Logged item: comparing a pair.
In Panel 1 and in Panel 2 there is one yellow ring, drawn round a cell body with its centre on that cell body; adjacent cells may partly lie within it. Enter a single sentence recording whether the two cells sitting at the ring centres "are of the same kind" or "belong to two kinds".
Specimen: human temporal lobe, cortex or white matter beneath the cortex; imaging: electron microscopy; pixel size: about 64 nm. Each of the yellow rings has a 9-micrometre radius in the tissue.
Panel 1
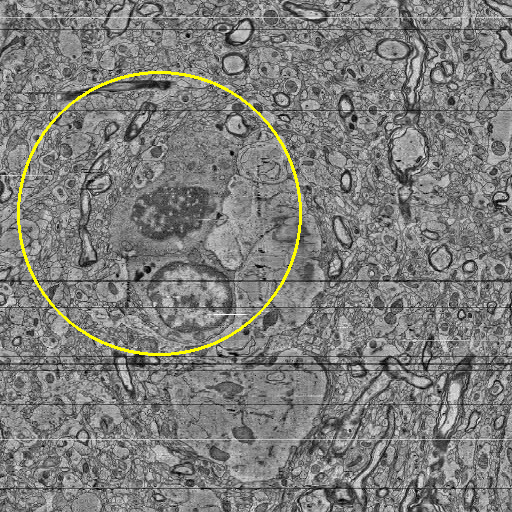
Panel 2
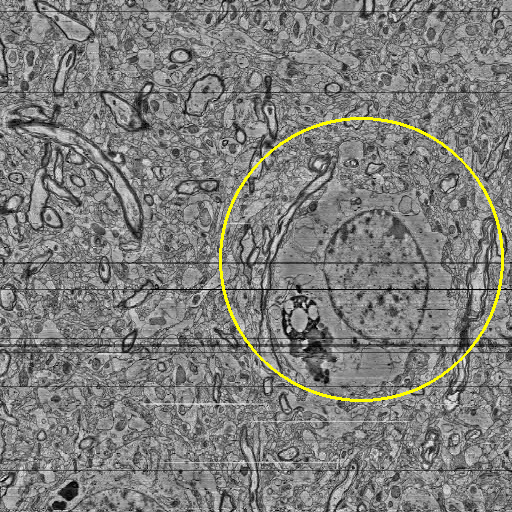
Logged: the cells centred in the rings of Panel 1 and Panel 2 belong to two kinds.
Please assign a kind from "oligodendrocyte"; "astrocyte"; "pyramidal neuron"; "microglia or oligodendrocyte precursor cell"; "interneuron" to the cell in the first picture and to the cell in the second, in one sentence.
In the first picture we have an oligodendrocyte, and in the second, an astrocyte.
